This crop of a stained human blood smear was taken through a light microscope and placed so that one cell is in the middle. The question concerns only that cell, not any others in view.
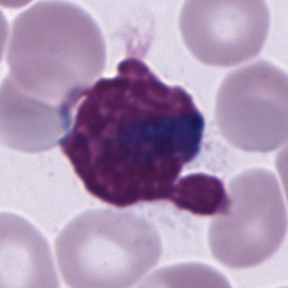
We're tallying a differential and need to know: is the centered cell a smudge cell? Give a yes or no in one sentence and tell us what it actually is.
Yes, the cell occupying the center is a smudge cell.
